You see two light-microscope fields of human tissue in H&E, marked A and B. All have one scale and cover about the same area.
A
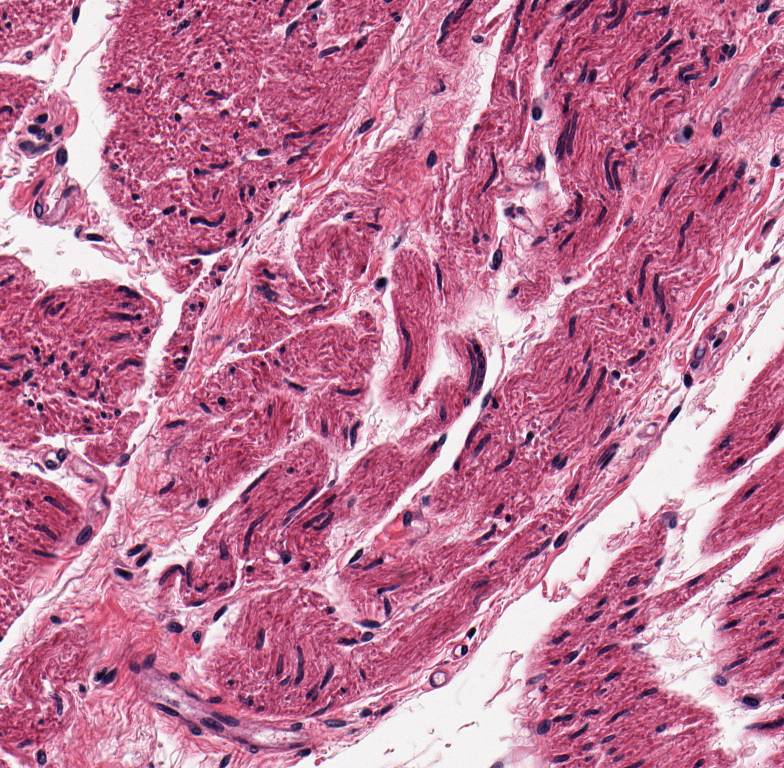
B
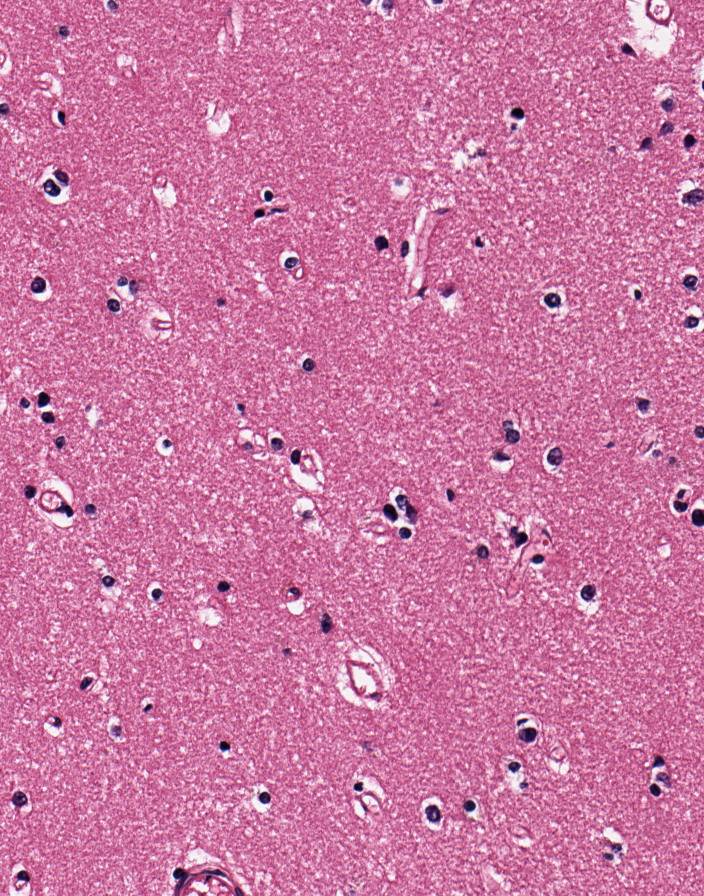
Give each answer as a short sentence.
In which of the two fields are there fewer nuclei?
The smaller number of nuclei is in field B.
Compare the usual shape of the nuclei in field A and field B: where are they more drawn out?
On the whole the nuclei of field A are more drawn out than those of field B.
